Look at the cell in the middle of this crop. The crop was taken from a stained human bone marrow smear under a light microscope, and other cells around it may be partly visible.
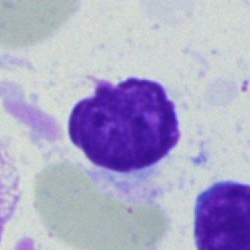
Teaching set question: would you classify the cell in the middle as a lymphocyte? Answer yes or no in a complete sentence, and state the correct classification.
Yes, that middle cell in the crop is a lymphocyte.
